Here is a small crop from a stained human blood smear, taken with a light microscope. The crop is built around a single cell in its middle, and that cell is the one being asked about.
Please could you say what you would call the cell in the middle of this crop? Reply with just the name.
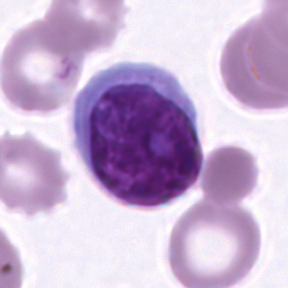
plasma cell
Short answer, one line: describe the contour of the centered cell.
Worth noting that the cell border is smooth and lacks projections.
